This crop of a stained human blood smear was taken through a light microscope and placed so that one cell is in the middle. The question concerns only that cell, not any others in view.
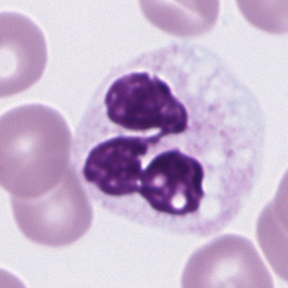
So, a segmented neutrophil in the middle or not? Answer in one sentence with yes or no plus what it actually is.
Yes, the cell at the middle is a segmented neutrophil.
